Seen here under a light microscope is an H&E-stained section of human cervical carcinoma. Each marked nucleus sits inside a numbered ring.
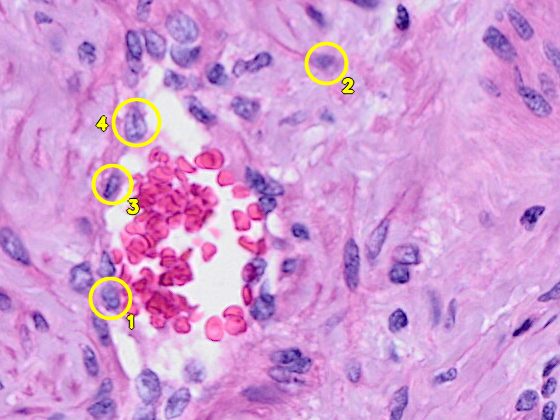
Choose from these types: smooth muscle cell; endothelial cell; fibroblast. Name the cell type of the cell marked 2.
smooth muscle cell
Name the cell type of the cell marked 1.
endothelial cell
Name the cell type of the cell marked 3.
endothelial cell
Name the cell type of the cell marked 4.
endothelial cell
